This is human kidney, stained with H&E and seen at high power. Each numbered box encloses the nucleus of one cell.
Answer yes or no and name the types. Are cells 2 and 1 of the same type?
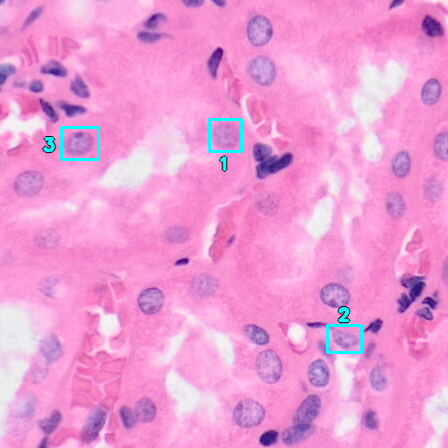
No, cell 2 is a collecting duct cell and cell 1 is a proximal tubule cell.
